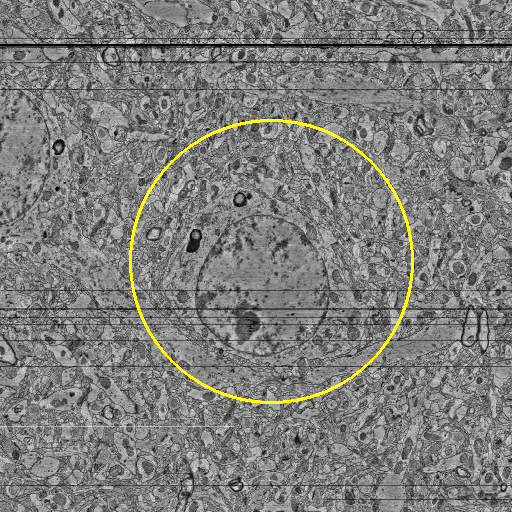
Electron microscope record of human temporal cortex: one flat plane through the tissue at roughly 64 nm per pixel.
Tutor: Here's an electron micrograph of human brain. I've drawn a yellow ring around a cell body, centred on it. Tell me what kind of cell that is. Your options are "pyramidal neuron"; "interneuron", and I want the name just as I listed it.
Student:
pyramidal neuron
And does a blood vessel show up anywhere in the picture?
No.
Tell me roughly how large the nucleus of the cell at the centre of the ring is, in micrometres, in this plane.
About 9 micrometres across, as seen in this plane.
